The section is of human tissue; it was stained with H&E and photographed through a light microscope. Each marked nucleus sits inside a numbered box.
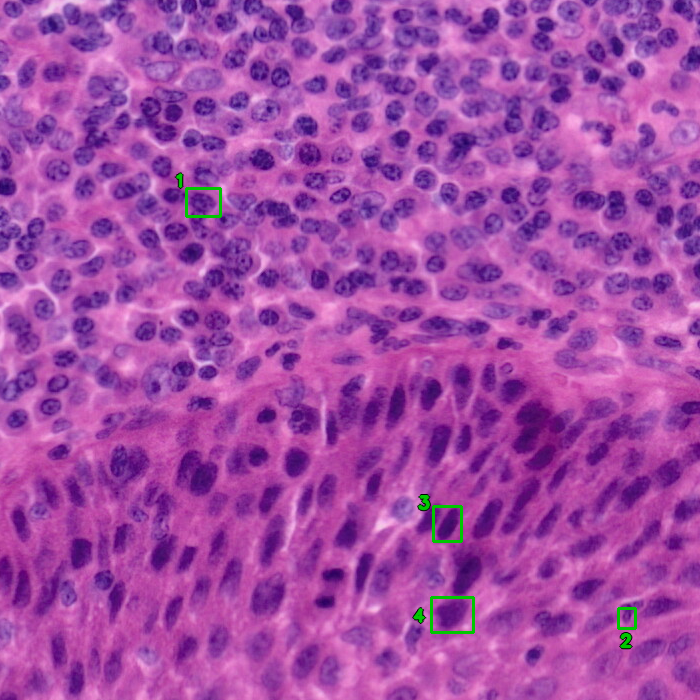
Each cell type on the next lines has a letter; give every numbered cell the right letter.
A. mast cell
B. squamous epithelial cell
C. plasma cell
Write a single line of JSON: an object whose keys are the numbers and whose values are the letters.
{"1": "C", "2": "B", "3": "B", "4": "B"}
